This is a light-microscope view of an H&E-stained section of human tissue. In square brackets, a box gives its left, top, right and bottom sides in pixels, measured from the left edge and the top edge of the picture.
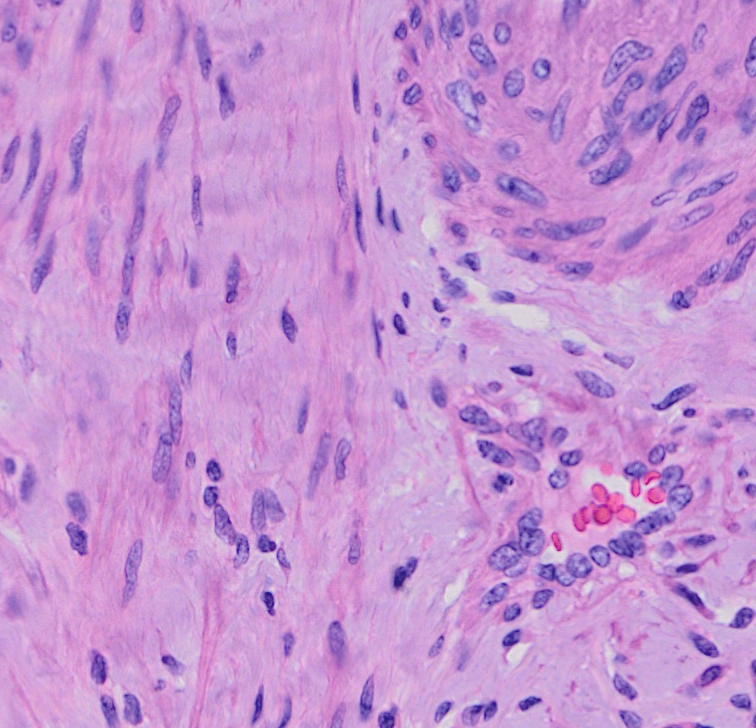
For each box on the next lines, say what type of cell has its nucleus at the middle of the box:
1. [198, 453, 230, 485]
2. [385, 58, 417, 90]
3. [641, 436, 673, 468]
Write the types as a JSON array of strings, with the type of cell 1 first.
["lymphocyte", "smooth muscle cell", "endothelial cell"]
